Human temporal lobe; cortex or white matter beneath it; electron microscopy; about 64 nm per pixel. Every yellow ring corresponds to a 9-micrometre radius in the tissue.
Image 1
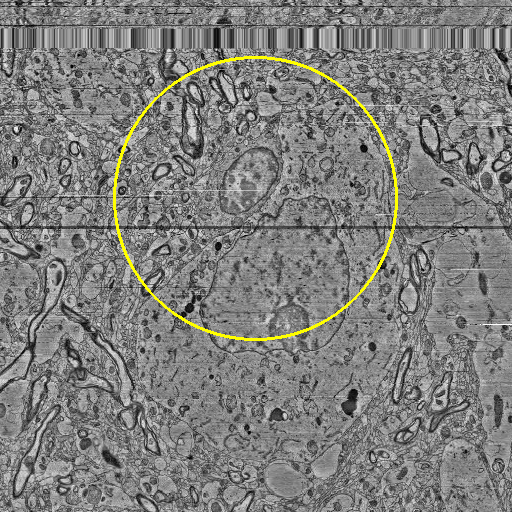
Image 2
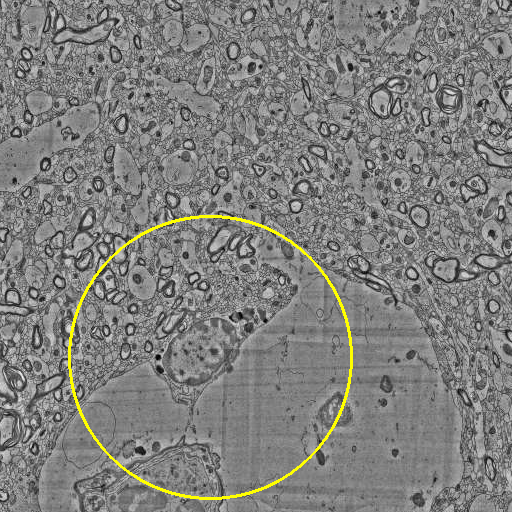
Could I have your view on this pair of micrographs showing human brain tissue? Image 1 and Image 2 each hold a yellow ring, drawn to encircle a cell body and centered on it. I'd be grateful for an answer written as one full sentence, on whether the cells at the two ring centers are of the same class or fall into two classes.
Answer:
The cells at the centers of the two rings fall into two classes.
